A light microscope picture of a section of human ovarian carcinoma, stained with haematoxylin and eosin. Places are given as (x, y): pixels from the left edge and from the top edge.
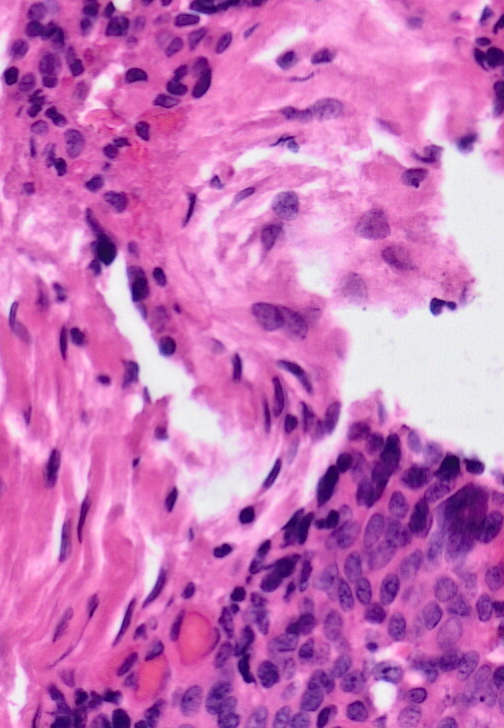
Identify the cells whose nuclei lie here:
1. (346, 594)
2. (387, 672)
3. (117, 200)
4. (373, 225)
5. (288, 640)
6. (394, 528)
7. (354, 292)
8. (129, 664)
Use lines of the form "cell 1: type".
cell 1: carcinoma cell
cell 2: macrophage or monocyte
cell 3: macrophage or monocyte
cell 4: fibroblast
cell 5: carcinoma cell
cell 6: carcinoma cell
cell 7: fibroblast
cell 8: endothelial cell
